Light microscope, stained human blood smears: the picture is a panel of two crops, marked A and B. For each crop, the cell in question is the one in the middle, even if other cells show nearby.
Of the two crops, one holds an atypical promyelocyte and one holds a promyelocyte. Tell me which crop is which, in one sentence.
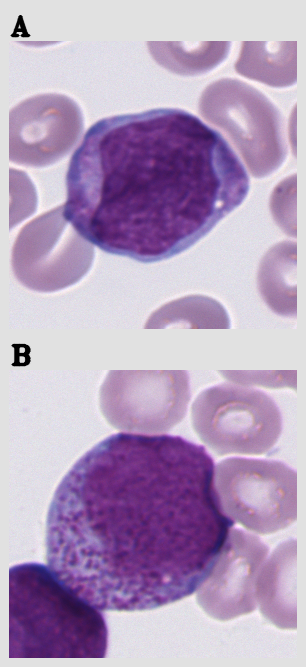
In short, crop A is an atypical promyelocyte and crop B is a promyelocyte.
